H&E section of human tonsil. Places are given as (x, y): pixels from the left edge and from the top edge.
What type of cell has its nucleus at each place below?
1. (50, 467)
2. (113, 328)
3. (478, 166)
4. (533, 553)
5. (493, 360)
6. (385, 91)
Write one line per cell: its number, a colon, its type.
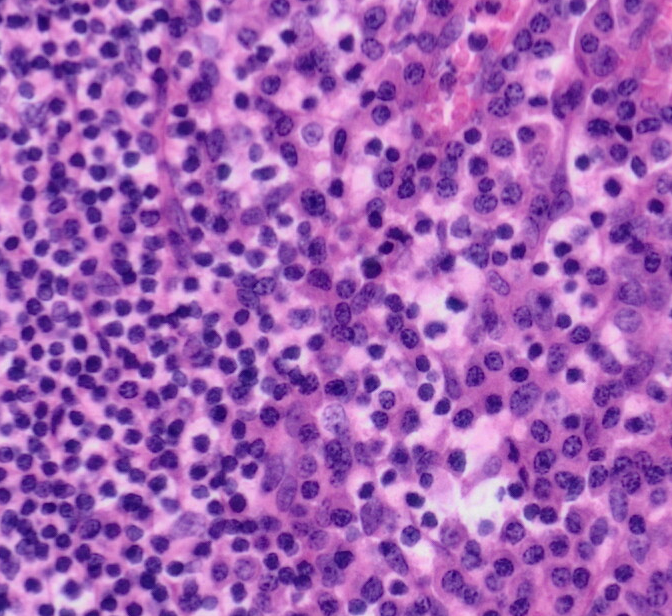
1: small lymphocyte
2: small lymphocyte
3: plasma cell
4: plasma cell
5: plasma cell
6: plasma cell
